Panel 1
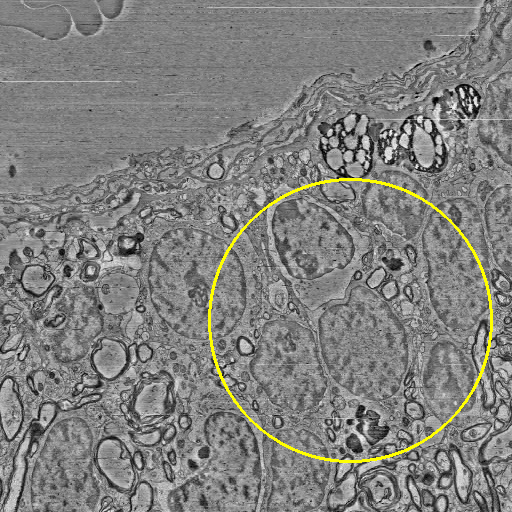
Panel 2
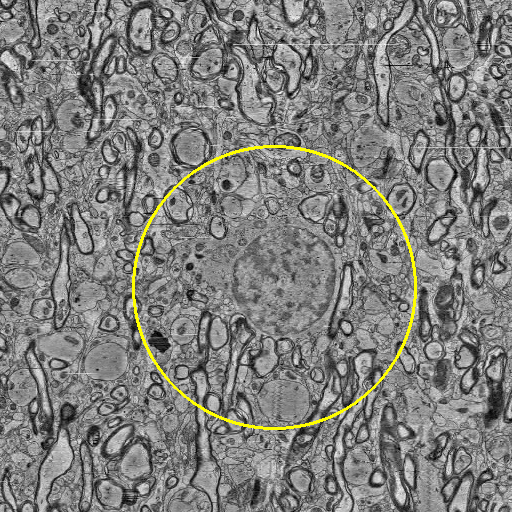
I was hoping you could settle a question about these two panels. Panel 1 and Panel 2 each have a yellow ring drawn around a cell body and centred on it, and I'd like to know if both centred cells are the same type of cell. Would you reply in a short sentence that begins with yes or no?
Yes, both are the same type of cell.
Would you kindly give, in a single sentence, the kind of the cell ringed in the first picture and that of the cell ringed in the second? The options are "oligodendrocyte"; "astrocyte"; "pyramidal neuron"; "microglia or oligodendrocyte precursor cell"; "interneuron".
In each picture the ringed cell is an oligodendrocyte.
